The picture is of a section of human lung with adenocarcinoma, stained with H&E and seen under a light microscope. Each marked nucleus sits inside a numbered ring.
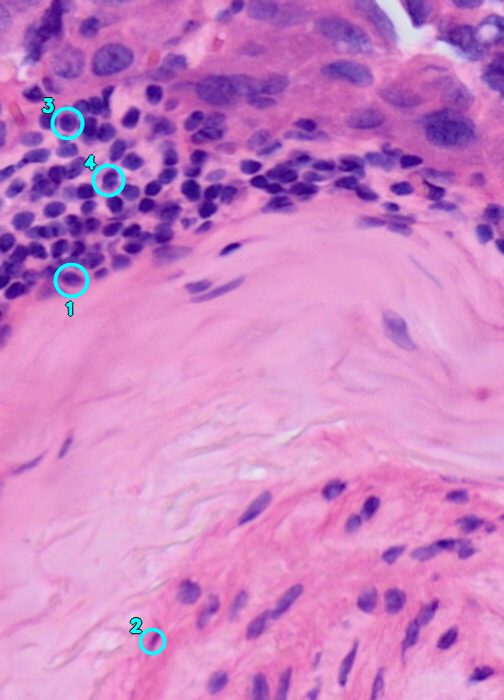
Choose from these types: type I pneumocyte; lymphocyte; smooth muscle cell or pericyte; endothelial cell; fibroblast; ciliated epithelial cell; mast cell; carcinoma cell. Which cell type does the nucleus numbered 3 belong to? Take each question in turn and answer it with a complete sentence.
The cell given label 3 is a lymphocyte.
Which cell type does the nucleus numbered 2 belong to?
The cell identified by the number 2 is a smooth muscle cell or pericyte.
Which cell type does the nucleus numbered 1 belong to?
Cell 1 in the field is a lymphocyte.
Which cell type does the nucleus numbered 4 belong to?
Cell 4 in the field of view is a lymphocyte.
